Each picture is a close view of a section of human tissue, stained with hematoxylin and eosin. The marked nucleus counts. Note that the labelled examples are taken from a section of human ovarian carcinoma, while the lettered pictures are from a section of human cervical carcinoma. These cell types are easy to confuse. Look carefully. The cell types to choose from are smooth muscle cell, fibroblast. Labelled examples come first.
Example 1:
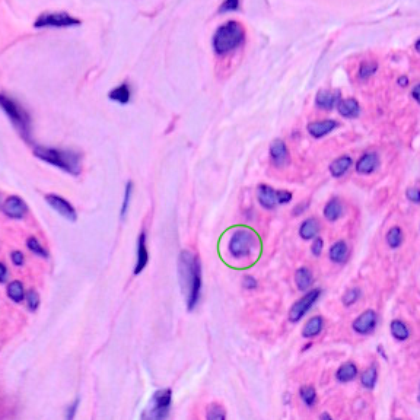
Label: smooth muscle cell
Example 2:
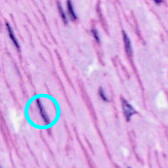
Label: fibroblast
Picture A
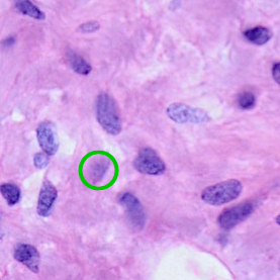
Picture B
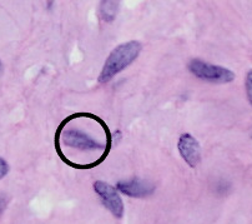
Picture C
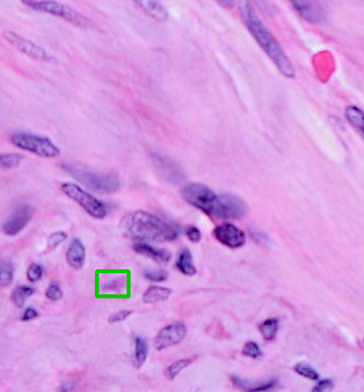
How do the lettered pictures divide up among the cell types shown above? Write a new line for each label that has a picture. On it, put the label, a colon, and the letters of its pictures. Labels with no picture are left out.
smooth muscle cell: C
fibroblast: A, B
